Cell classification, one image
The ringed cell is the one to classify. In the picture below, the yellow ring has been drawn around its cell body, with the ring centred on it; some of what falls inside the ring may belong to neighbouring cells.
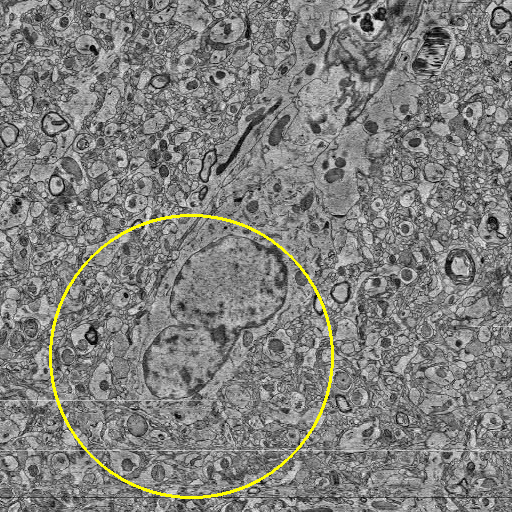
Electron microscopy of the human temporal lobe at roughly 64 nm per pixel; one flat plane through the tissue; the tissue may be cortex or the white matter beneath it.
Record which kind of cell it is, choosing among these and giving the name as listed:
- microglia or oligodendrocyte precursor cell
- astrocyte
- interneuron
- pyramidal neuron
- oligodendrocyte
microglia or oligodendrocyte precursor cell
